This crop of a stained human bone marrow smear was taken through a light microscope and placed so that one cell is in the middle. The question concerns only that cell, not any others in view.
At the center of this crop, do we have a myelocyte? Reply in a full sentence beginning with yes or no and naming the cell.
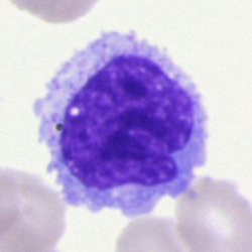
No, that is not a myelocyte; the middle cell is a monocyte.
